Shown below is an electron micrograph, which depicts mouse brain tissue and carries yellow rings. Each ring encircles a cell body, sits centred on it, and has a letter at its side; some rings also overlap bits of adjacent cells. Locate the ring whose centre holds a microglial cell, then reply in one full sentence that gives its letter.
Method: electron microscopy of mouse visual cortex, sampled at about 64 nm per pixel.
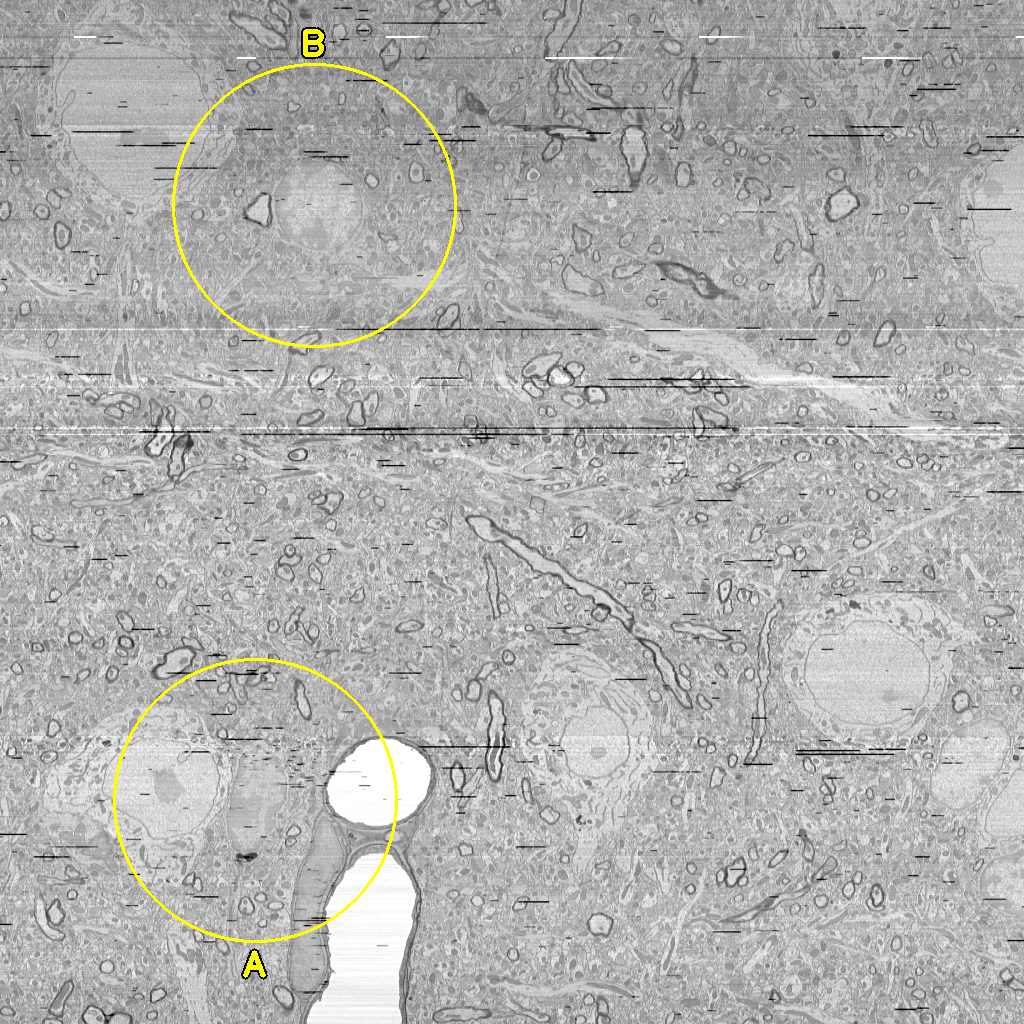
The ring centred on the cell asked for is the one marked A.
